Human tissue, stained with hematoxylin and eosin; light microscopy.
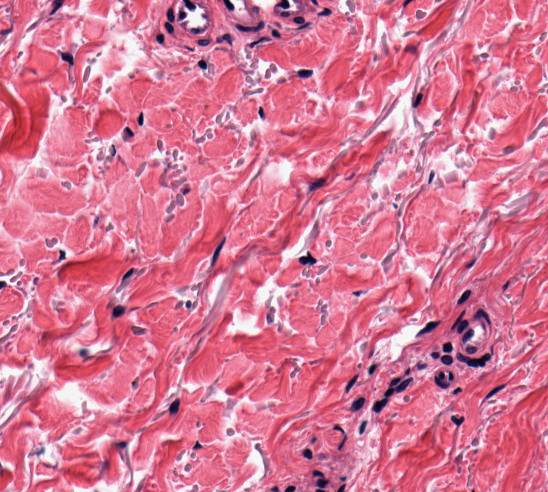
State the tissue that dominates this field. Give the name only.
dermis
